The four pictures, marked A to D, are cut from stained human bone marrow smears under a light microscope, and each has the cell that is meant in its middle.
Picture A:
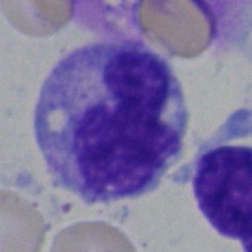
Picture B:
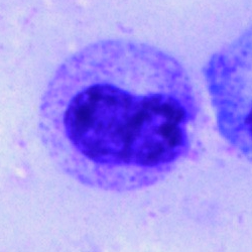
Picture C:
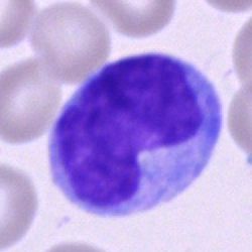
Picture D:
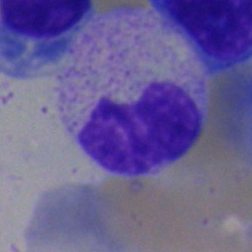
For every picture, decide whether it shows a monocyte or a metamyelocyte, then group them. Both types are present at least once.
A: monocyte
B: metamyelocyte
C: monocyte
D: metamyelocyte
